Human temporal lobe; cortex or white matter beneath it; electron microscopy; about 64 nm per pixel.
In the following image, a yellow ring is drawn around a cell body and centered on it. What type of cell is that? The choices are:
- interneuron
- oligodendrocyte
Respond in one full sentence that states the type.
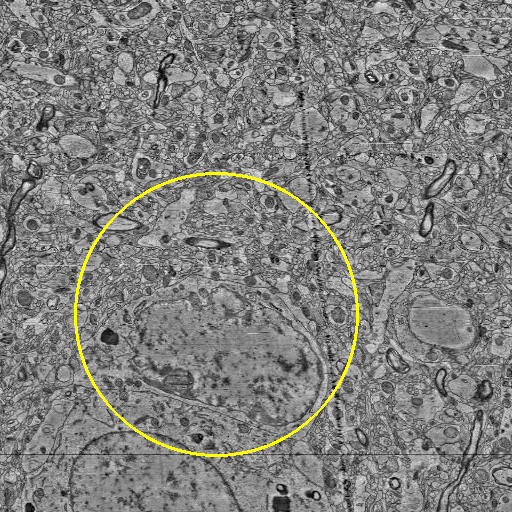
The cell at the center of the yellow ring in the image is an interneuron.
